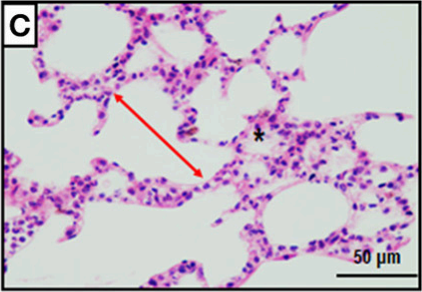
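Lung parenchyma with large, widely open alveolar airspaces bounded by thin pink septa lined by flattened cells with dark purple nuclei. Septa are thicker and more cellular at some junctions between airspaces.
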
